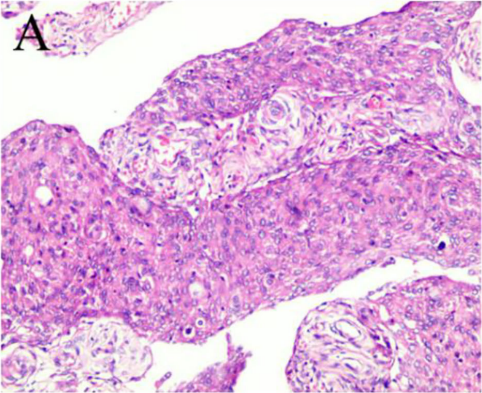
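The cells have moderate amounts of pink cytoplasm and round to oval nuclei with fine chromatin, and their borders are often hard to make out. Several concentric whorls of flattened cells wrap around one another, giving an onion-skin appearance.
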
